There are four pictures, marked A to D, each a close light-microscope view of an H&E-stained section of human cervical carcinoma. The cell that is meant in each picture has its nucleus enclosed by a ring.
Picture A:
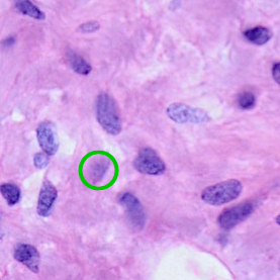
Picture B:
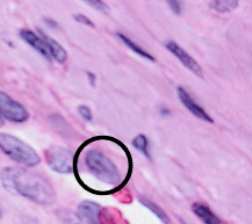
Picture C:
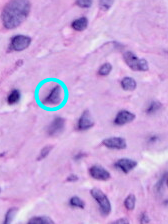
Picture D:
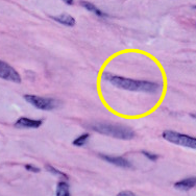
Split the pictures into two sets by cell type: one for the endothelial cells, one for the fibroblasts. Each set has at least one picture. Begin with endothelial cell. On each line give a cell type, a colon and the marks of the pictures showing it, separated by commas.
endothelial cell: B
fibroblast: A, C, D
